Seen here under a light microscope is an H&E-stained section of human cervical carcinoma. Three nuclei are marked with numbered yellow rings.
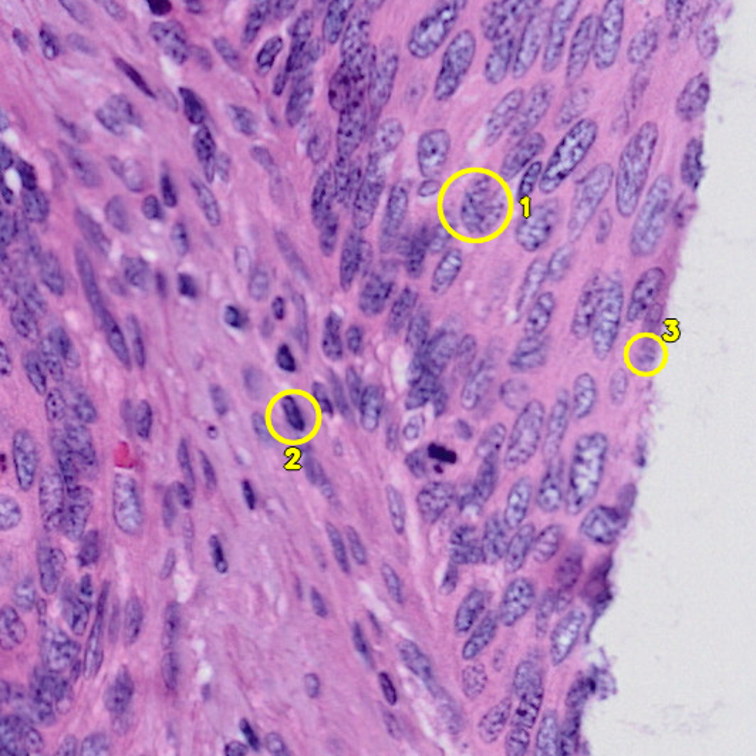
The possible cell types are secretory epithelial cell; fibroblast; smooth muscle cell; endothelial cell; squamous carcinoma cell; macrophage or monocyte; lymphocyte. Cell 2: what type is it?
lymphocyte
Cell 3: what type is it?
squamous carcinoma cell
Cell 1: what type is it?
squamous carcinoma cell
